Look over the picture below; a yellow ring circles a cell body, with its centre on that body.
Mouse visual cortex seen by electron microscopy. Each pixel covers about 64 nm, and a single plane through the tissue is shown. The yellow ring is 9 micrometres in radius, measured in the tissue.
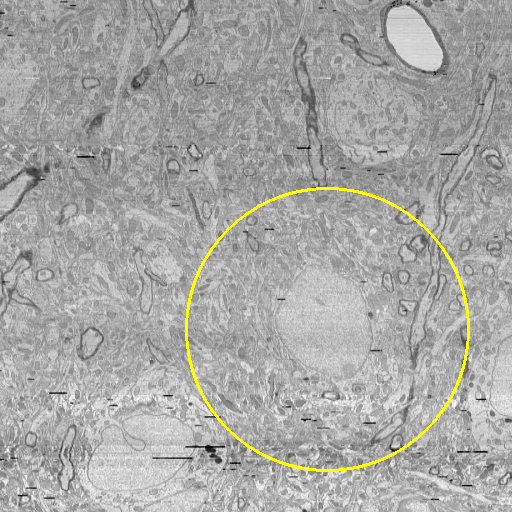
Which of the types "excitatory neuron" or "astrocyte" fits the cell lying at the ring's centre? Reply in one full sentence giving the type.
The picture shows an astrocyte at the centre of the yellow ring.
